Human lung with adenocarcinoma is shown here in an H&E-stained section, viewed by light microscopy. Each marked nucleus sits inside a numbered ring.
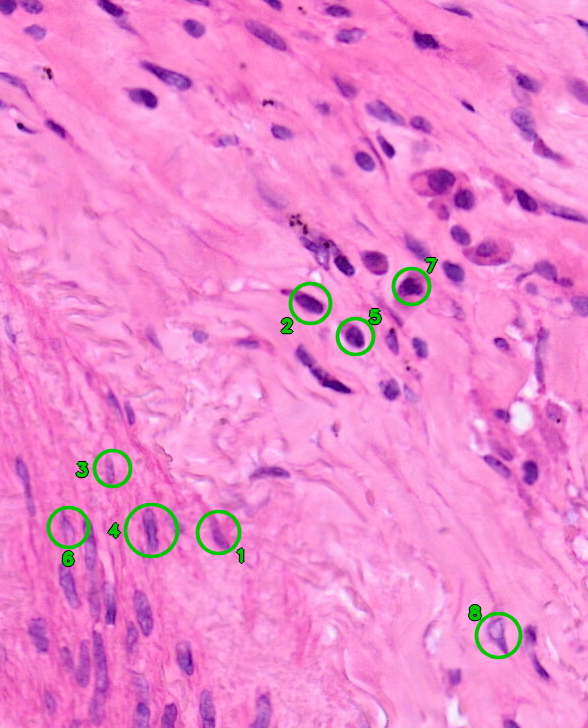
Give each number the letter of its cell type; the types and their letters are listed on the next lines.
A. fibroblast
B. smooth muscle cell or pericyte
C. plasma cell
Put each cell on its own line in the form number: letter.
1: B
2: C
3: B
4: B
5: C
6: B
7: C
8: A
